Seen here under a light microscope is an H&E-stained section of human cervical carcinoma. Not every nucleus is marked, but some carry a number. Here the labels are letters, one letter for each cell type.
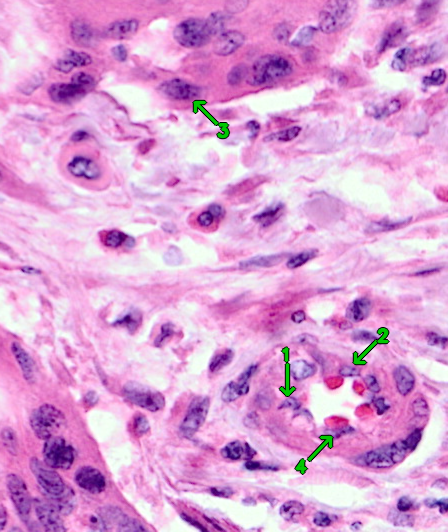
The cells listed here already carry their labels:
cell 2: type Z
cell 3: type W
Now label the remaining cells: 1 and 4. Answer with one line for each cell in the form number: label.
1: type Z
4: type Z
